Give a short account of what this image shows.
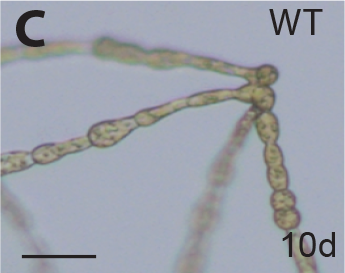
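The cells are filled with greenish-brown granular cytoplasm. Several filaments meet and radiate from one point, where the cells appear crowded and slightly darker. The background is clear and the filaments are seen in focus in the foreground, with further out-of-focus filaments behind.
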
